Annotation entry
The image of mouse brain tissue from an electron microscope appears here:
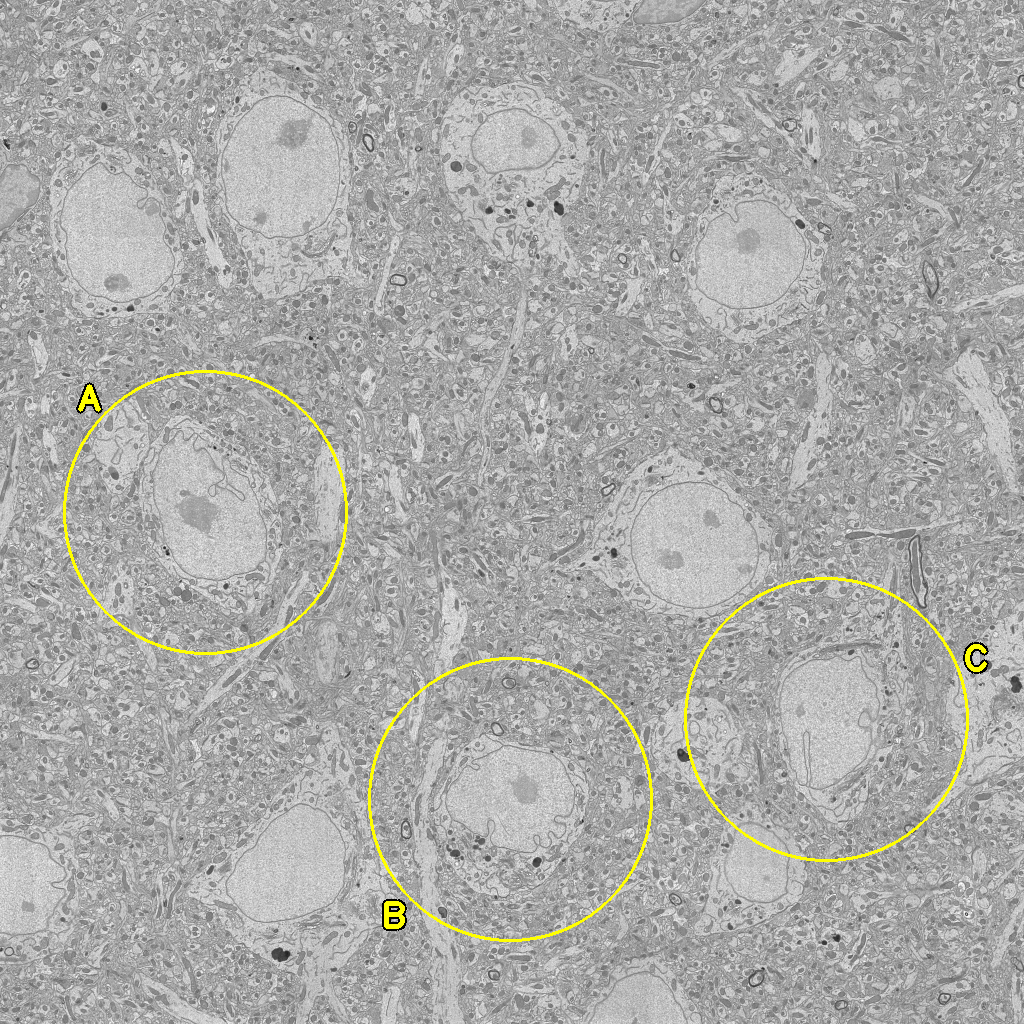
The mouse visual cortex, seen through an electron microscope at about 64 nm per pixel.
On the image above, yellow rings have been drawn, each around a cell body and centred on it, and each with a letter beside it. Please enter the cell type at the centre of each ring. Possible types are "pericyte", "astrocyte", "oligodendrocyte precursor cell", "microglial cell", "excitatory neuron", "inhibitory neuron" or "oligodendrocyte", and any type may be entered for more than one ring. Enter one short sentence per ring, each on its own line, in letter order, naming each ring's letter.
The cell that ring A is centred on is an inhibitory neuron.
The cell that ring B is centred on is an inhibitory neuron.
The cell that ring C is centred on is an inhibitory neuron.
